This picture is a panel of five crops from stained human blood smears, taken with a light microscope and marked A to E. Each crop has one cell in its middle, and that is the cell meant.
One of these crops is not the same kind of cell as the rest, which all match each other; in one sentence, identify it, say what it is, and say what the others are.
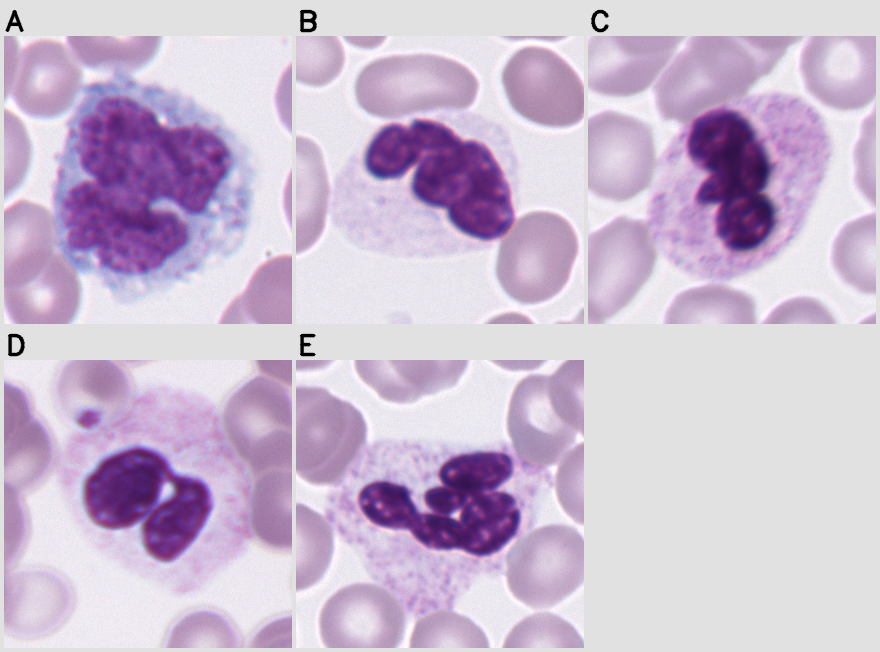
Crop A is the outlier, with a monocyte against segmented neutrophils in the rest.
